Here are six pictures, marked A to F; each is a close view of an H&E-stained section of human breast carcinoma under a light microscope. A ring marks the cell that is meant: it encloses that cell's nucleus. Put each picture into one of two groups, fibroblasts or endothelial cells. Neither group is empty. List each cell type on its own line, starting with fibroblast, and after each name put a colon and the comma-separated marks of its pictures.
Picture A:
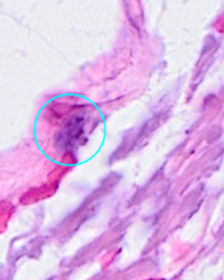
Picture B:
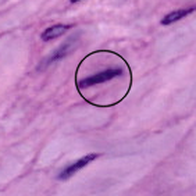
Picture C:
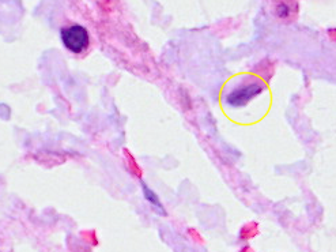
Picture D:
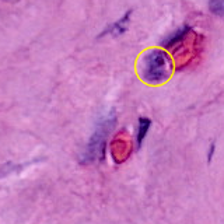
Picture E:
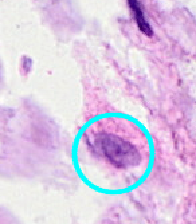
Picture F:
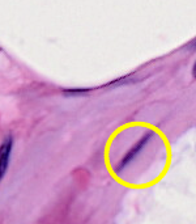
fibroblast: B, C, E, F
endothelial cell: A, D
